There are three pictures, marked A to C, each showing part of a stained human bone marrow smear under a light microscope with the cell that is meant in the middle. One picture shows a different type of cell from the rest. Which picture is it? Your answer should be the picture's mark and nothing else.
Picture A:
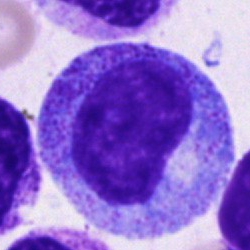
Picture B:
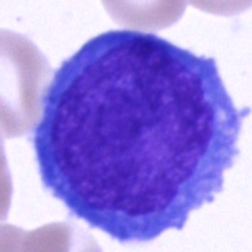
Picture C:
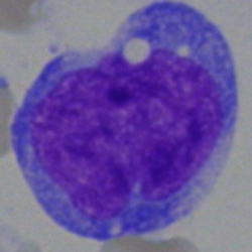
A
